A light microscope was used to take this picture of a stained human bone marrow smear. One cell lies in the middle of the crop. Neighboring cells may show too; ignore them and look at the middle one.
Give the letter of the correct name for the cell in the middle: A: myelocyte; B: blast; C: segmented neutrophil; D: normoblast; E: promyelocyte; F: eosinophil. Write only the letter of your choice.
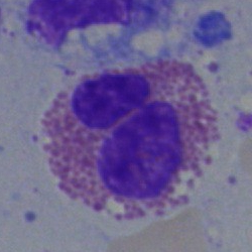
F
